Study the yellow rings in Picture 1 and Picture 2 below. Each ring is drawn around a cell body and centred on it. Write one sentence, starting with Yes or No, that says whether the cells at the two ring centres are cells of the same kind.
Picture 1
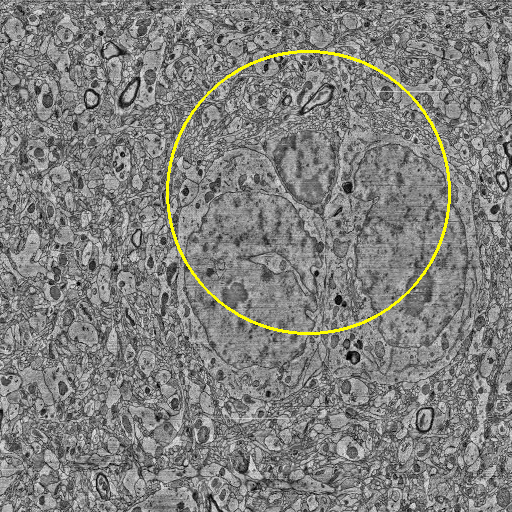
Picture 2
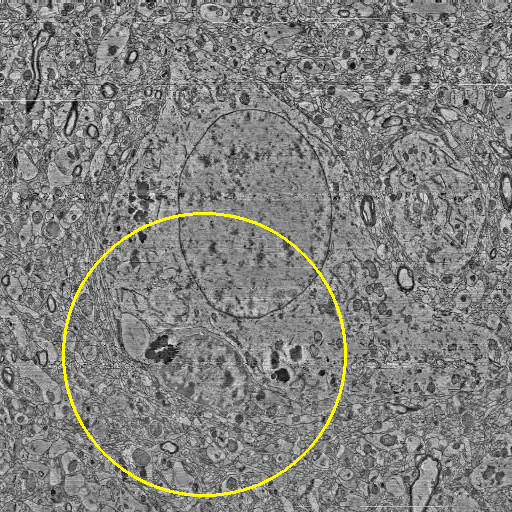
Yes, the cells at both ring centres are of the same kind.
